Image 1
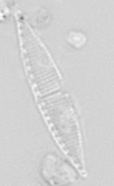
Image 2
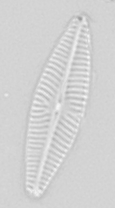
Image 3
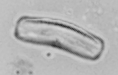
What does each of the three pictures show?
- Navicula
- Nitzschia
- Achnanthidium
Picture 1: Nitzschia
Picture 2: Navicula
Picture 3: Achnanthidium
